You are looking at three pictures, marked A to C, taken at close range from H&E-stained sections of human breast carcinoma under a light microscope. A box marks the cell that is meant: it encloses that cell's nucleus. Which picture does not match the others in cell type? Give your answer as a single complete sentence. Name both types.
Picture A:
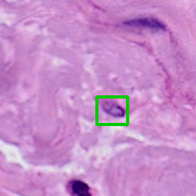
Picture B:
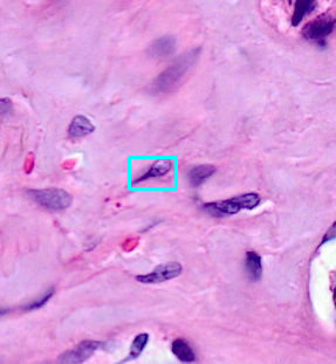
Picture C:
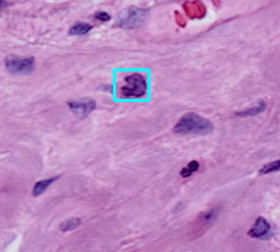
Unlike the rest, which show fibroblasts, picture C shows a “macrophage, monocyte or dendritic cell”.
